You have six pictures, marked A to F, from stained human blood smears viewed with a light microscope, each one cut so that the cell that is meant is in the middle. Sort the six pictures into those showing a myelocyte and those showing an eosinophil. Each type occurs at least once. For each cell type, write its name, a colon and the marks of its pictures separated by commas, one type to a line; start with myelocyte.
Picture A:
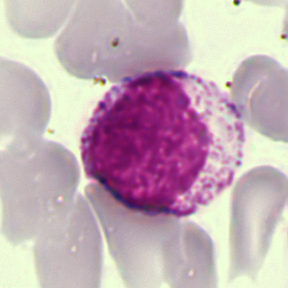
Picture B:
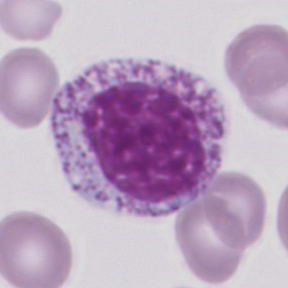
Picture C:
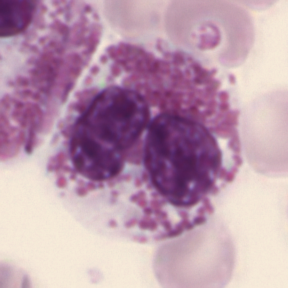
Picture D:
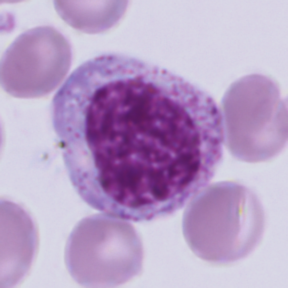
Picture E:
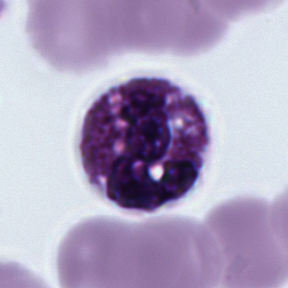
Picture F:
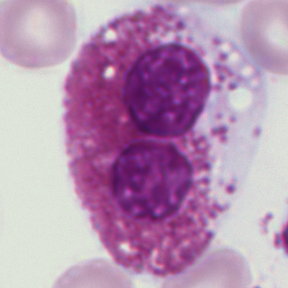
myelocyte: A, B, D
eosinophil: C, E, F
